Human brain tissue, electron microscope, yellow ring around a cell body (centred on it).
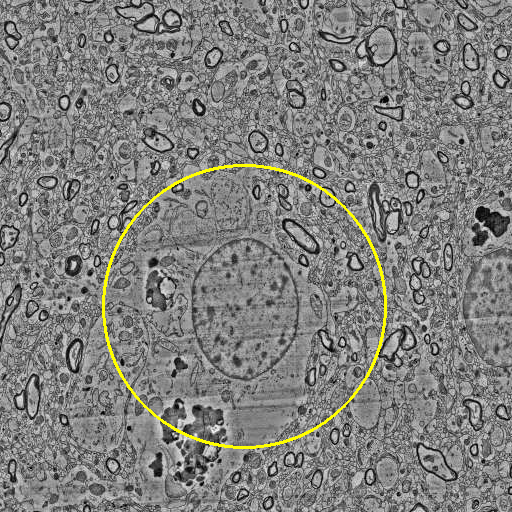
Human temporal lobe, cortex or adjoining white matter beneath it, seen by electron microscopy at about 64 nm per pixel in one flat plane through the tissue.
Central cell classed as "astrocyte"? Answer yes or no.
yes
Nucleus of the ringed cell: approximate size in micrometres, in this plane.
Approximately 9 micrometres long and 7 micrometres wide, in this plane.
